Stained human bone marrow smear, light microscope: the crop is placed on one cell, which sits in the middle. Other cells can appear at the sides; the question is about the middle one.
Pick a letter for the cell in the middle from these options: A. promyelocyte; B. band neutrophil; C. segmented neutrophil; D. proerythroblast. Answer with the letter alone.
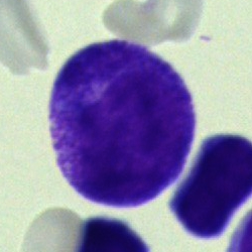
A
